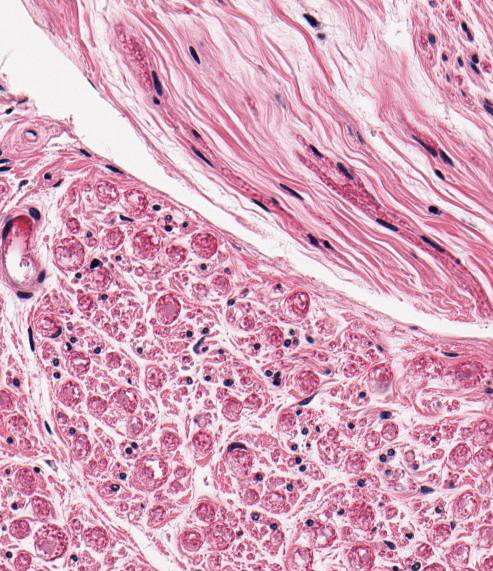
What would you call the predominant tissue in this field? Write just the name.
nerve fascicle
